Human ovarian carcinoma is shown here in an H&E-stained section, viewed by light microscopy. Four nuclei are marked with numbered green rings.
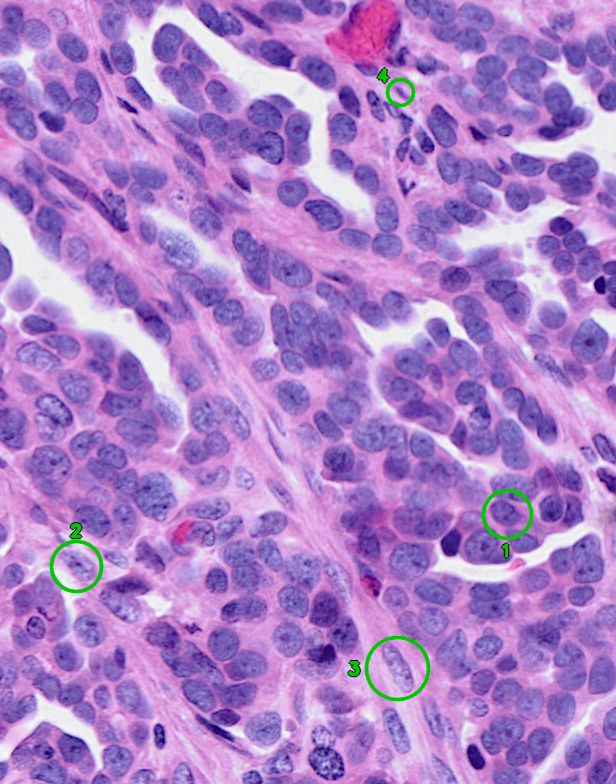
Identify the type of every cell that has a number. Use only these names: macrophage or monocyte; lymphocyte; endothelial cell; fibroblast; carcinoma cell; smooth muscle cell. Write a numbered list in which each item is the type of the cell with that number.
1. carcinoma cell
2. fibroblast
3. fibroblast
4. fibroblast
